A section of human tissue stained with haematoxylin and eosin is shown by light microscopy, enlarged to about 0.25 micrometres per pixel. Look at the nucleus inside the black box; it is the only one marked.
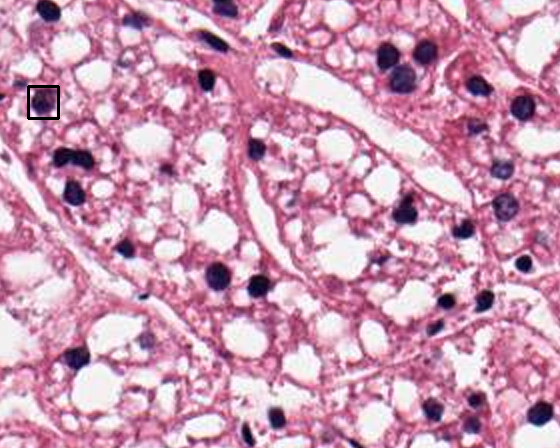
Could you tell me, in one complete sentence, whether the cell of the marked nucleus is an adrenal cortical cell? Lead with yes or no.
Yes, the marked nucleus is part of an adrenal cortical cell.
